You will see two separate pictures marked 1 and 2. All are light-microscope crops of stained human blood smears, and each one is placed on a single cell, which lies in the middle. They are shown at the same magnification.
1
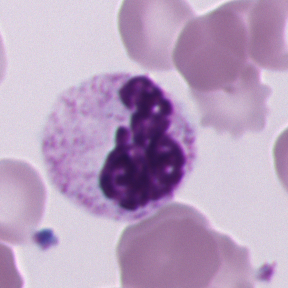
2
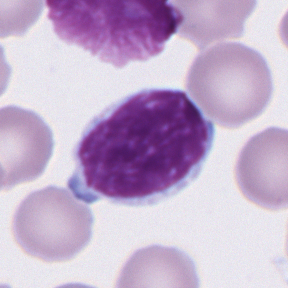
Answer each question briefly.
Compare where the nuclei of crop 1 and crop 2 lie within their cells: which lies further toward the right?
1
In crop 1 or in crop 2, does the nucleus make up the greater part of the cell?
2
